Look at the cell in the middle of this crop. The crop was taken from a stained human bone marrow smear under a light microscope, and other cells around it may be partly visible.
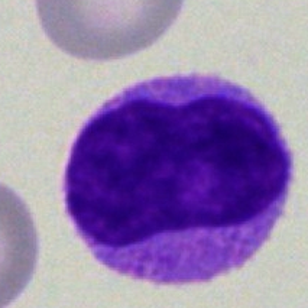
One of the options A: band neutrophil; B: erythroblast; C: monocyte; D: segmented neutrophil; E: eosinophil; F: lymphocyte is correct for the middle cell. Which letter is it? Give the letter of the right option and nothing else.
C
